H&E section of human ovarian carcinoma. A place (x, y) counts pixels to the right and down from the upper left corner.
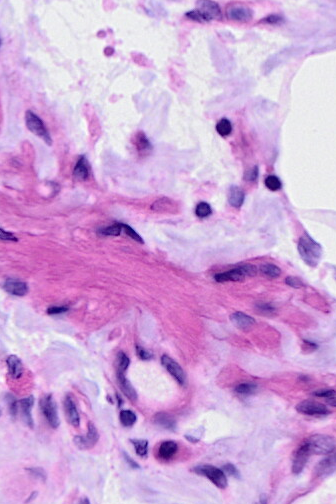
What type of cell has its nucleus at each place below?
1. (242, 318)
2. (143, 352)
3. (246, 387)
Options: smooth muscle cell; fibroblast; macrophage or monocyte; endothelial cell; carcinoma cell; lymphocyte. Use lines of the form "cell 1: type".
cell 1: smooth muscle cell
cell 2: endothelial cell
cell 3: smooth muscle cell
